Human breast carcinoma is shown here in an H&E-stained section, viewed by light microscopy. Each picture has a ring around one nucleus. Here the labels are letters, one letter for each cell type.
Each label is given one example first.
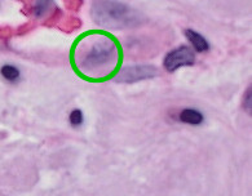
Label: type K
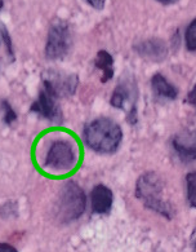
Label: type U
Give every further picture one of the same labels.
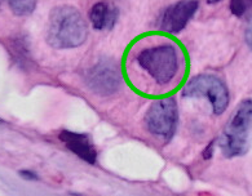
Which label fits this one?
type U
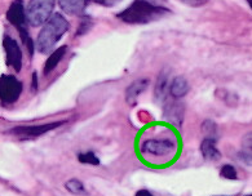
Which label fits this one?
type K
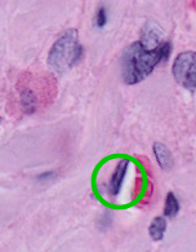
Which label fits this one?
type K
